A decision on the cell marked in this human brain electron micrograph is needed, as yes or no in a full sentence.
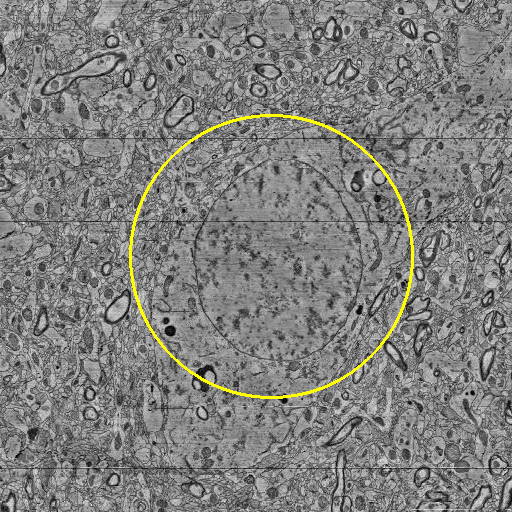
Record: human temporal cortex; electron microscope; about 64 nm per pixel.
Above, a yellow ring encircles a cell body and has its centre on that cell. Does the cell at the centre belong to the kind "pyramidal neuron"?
Yes, the kind given fits the cell at the centre of the ring in the picture.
